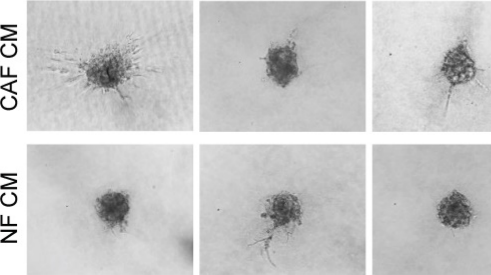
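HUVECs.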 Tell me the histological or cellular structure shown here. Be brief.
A: spheroid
